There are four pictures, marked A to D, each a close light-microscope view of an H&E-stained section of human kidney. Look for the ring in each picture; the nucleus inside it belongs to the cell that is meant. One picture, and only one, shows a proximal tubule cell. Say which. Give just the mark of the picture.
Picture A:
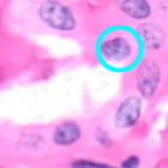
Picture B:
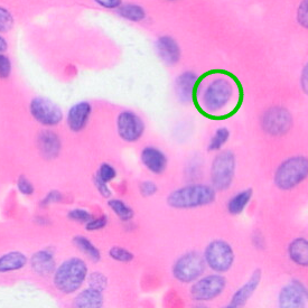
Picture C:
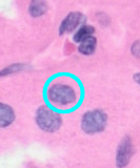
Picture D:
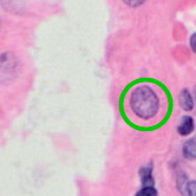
D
